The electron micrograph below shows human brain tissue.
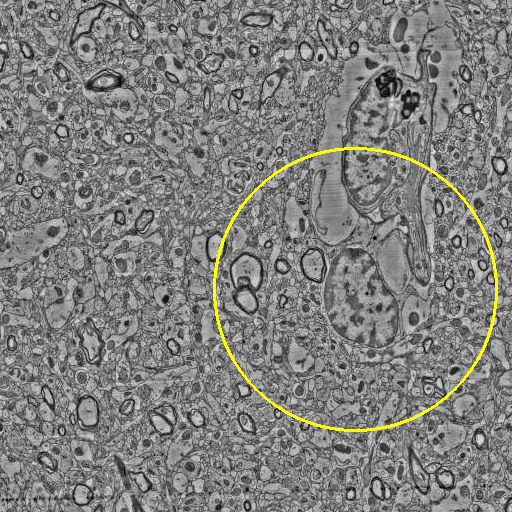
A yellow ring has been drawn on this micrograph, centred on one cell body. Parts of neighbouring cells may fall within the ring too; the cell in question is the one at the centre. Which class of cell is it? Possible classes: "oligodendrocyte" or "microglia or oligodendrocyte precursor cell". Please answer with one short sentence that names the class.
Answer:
In the centre of the ring sits a microglial cell or oligodendrocyte precursor cell.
